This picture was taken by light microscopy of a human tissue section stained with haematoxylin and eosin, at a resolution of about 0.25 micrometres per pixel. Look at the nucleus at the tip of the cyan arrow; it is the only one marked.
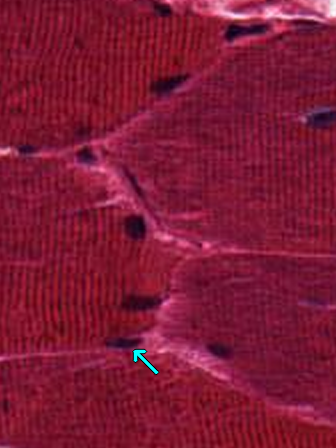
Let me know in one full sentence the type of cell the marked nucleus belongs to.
The marked nucleus forms part of a skeletal muscle fibre.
